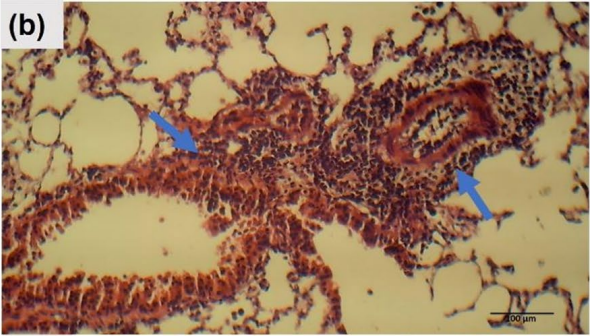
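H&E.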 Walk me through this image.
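This is lung, and around an airway and a neighbouring blood vessel lies a dense crowd of inflammatory cells. Look at the large airway below: its lining is tall epithelium, stained pink with a row of dark nuclei. Above and to the right, instead of thin walls, you see a thick cuff of small cells with dark, round nuclei and very little cytoplasm, packed so tightly that they form a dark purple mass. Farther away the alveoli keep their thin walls and open pale spaces.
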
